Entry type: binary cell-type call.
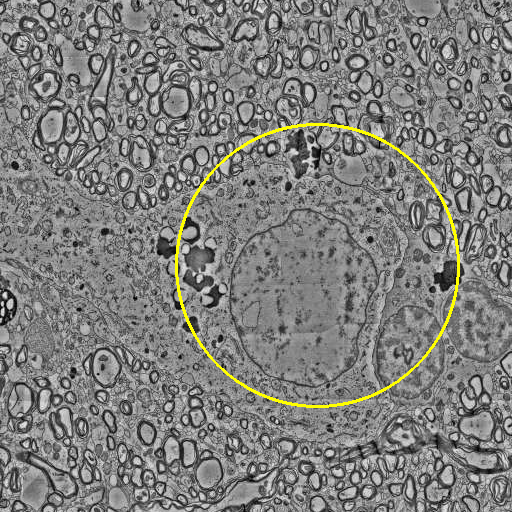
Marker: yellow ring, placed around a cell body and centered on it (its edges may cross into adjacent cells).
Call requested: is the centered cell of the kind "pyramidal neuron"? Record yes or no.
yes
